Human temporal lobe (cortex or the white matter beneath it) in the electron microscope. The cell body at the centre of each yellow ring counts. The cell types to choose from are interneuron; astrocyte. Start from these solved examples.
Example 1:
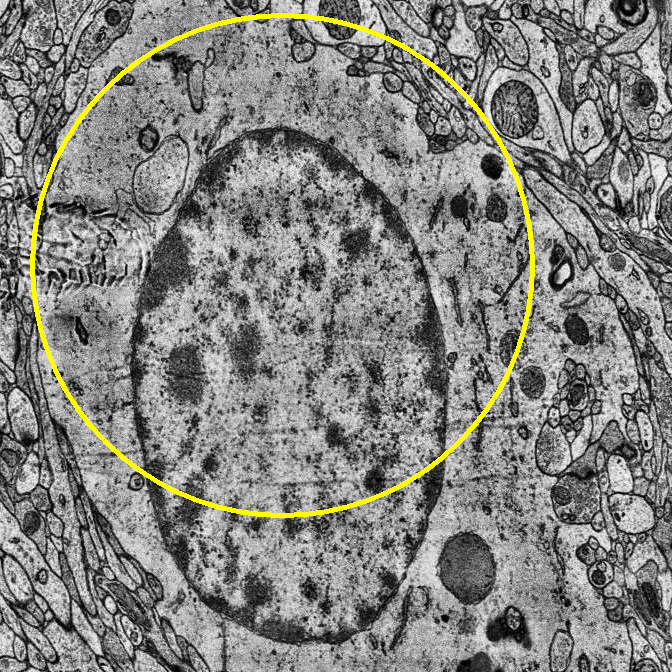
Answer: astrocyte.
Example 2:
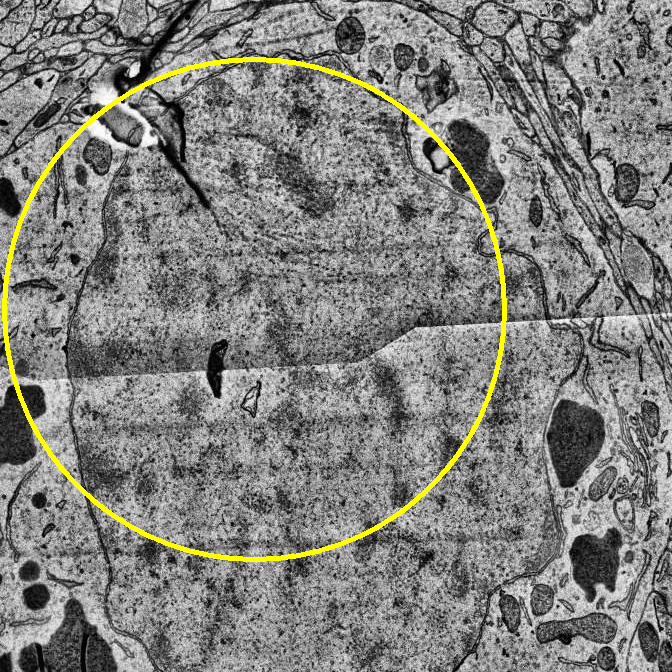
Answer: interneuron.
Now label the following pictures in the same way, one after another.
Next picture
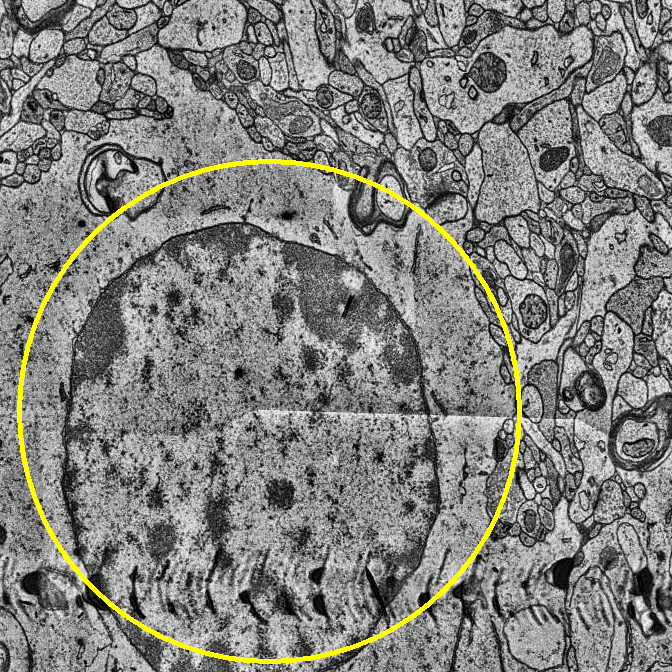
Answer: astrocyte.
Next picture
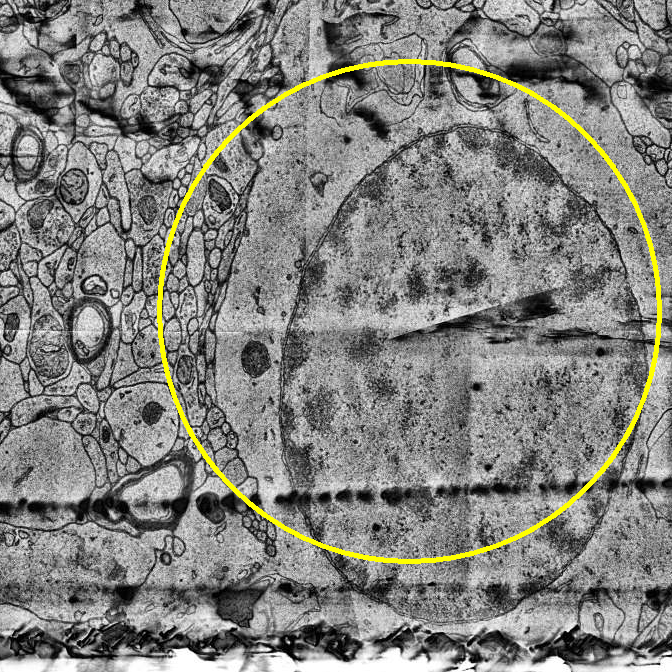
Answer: astrocyte.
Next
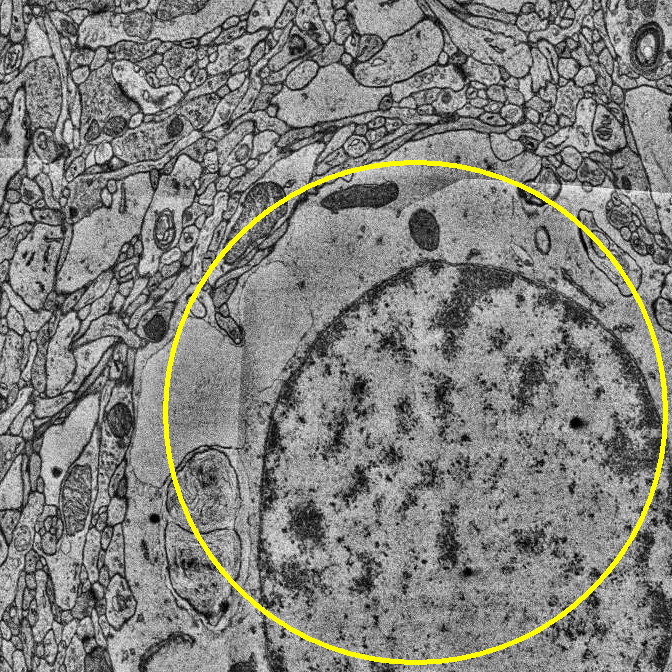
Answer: astrocyte.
